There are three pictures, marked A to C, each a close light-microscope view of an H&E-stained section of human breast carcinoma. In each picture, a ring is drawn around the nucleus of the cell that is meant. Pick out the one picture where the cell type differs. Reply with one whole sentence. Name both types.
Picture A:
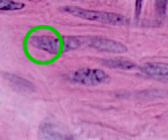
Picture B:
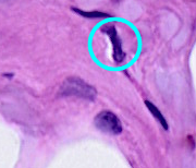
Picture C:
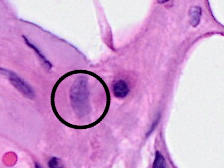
Picture A is the odd one out: it shows an endothelial cell, while the others show fibroblasts.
